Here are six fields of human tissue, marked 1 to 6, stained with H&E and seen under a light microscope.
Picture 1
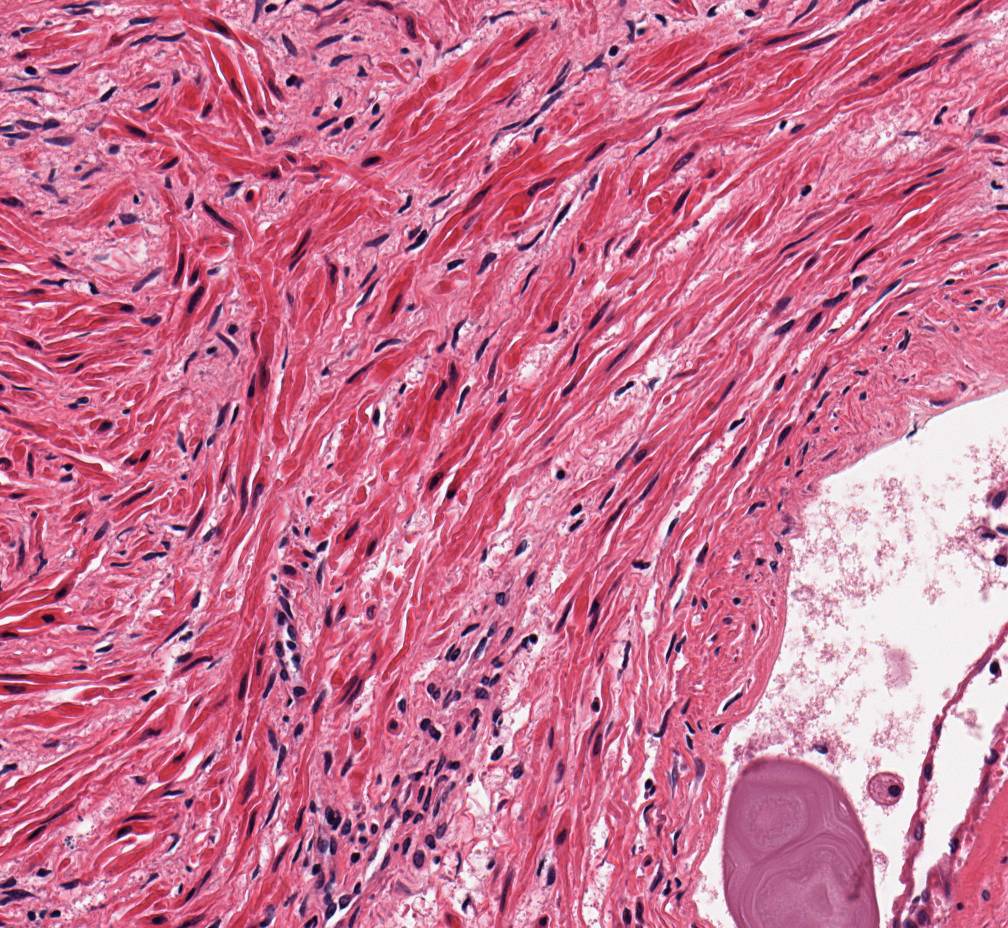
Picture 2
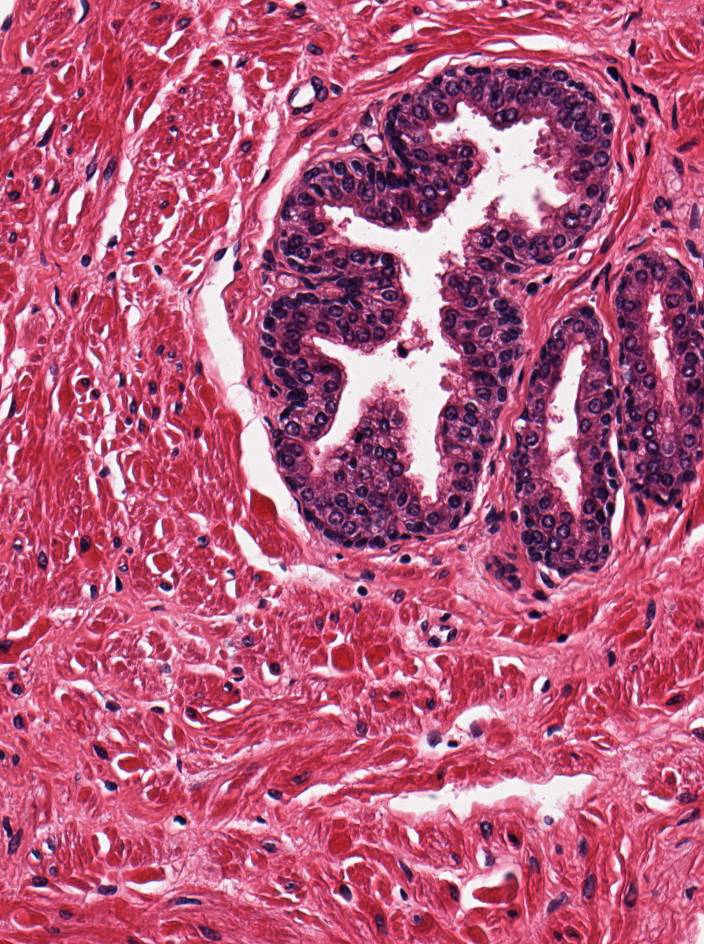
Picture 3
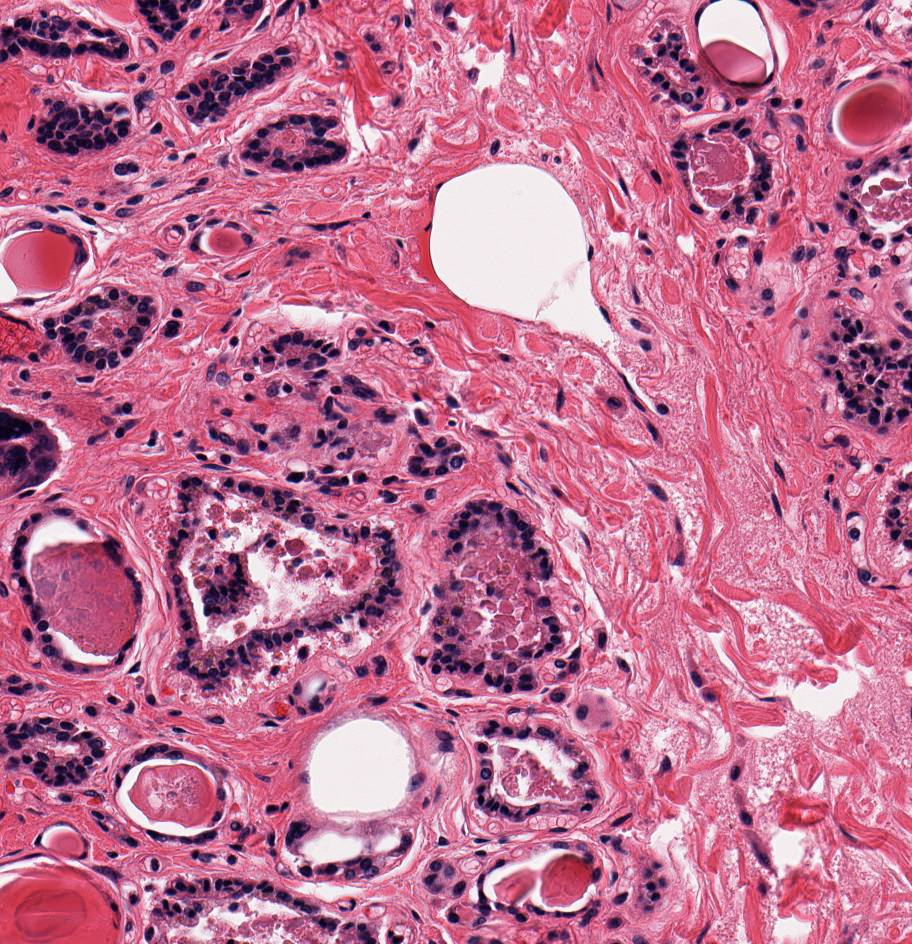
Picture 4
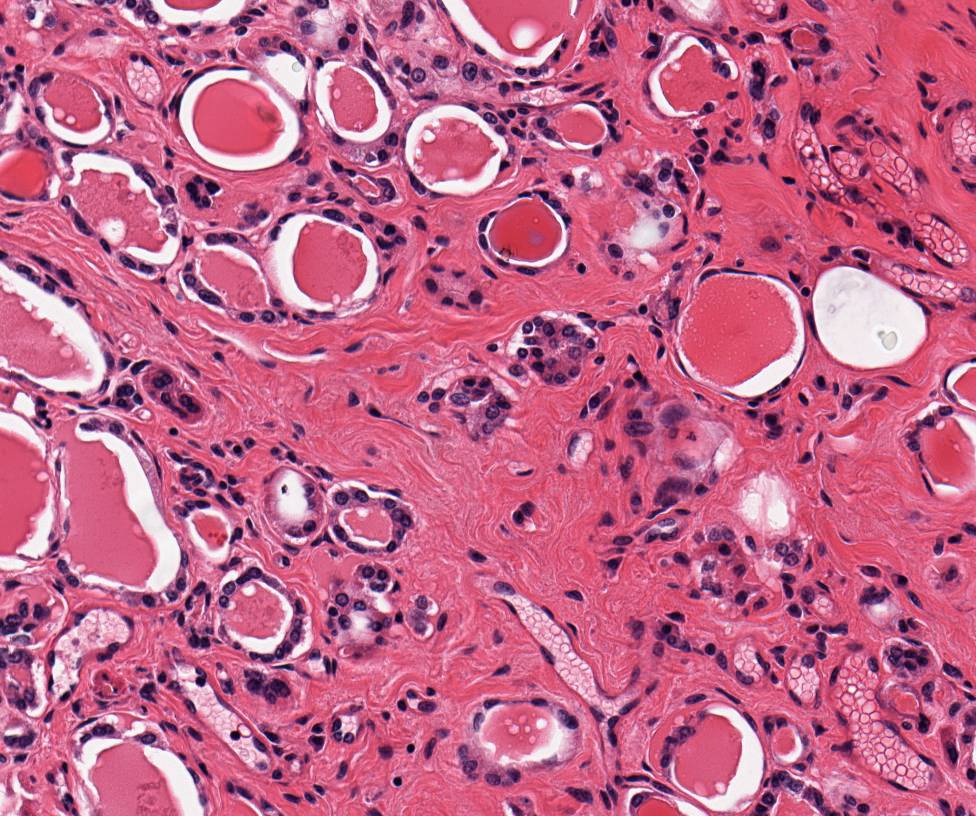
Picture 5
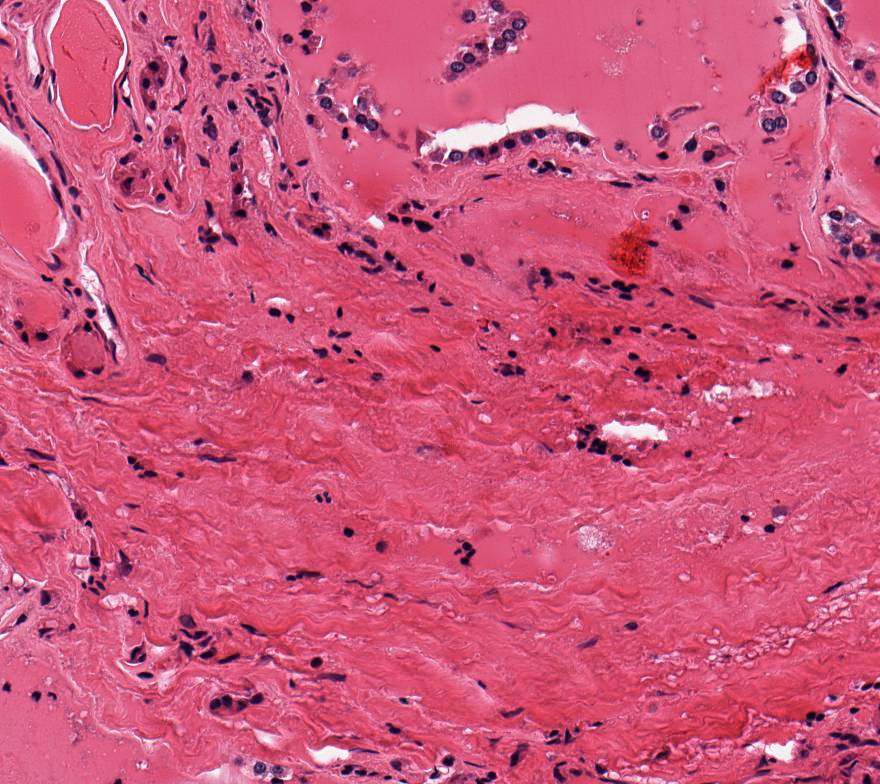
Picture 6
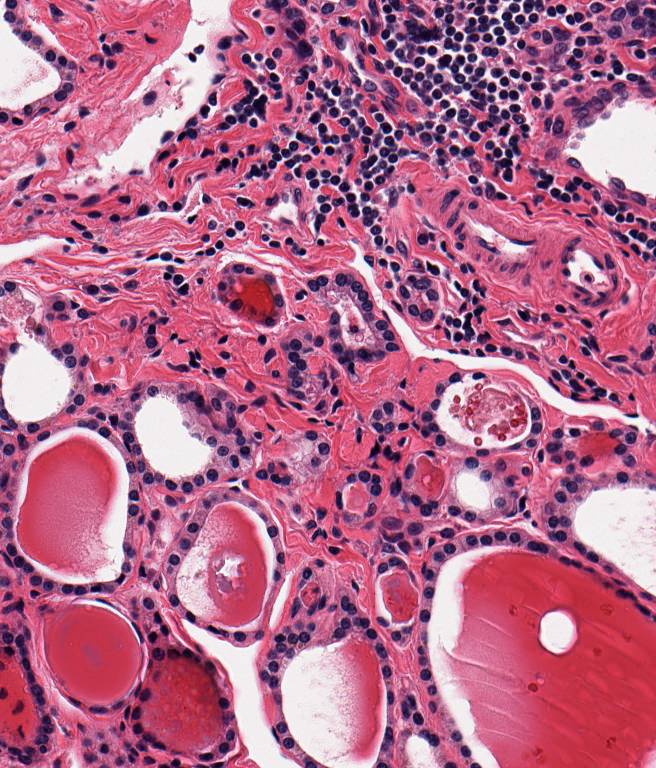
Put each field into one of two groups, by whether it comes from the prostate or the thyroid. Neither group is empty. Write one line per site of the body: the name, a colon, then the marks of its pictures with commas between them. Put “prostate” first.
prostate: 1, 2
thyroid: 3, 4, 5, 6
